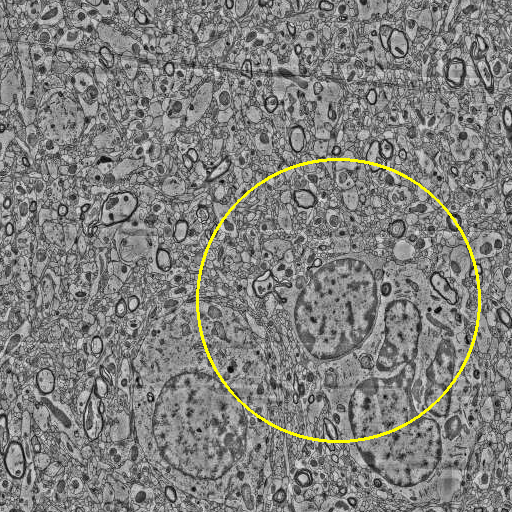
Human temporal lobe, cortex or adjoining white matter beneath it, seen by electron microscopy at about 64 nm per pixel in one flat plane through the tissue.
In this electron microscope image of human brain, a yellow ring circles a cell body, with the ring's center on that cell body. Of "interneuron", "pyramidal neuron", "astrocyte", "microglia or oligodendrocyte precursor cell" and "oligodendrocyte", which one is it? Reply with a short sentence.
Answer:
It is an oligodendrocyte at the center of the ring.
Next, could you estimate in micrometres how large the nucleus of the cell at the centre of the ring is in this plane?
The nucleus measures about 7 by 5 micrometres in this plane.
